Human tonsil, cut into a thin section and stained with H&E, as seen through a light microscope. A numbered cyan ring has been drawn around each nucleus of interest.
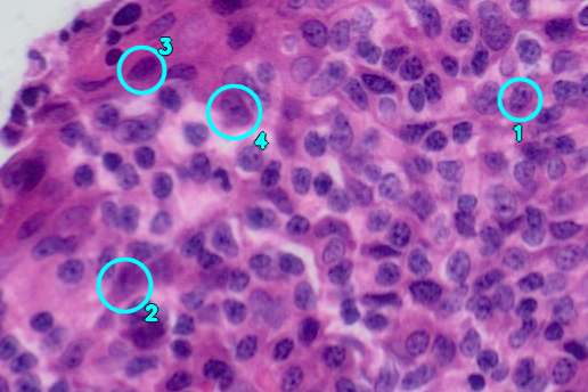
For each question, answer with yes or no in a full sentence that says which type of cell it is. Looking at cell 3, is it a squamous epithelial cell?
Yes, correct, the cell with the number 3 is a squamous epithelial cell.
